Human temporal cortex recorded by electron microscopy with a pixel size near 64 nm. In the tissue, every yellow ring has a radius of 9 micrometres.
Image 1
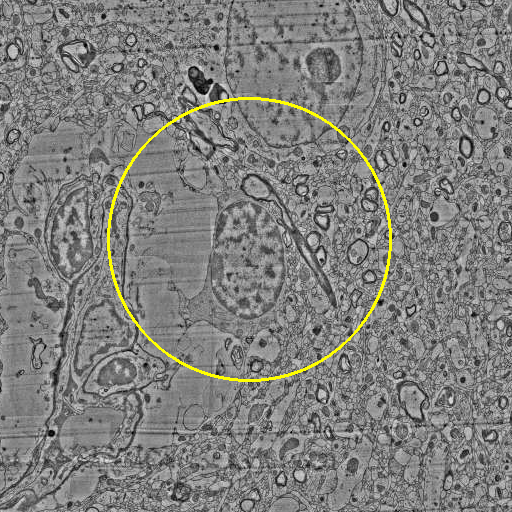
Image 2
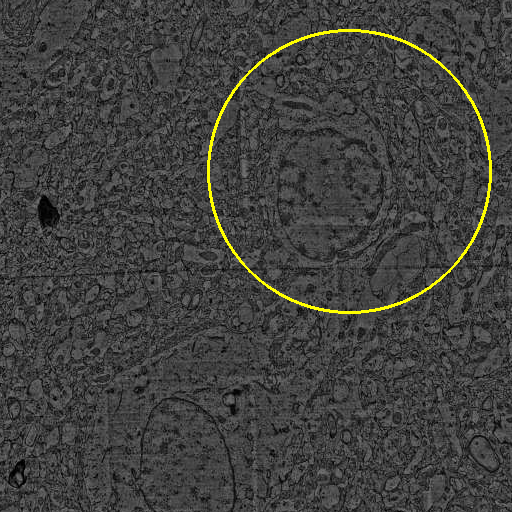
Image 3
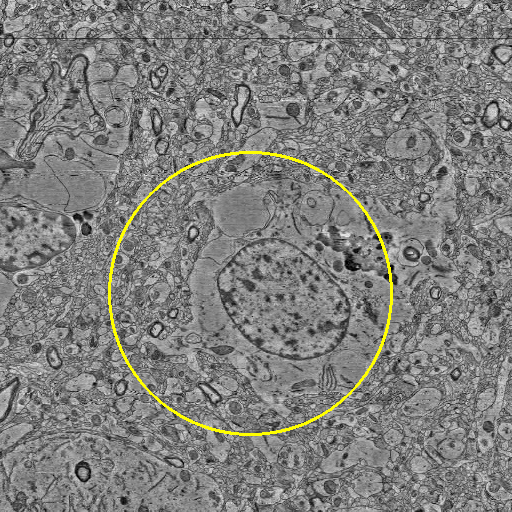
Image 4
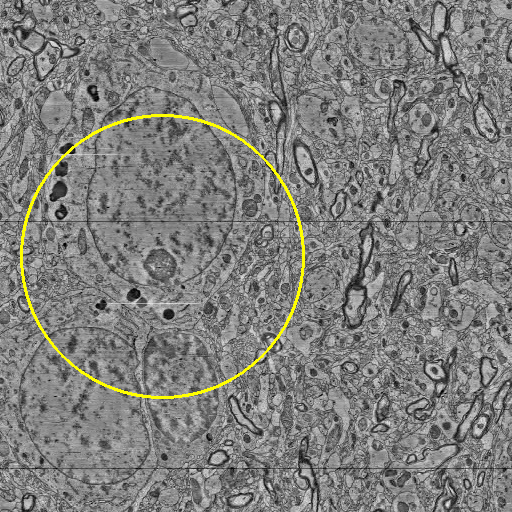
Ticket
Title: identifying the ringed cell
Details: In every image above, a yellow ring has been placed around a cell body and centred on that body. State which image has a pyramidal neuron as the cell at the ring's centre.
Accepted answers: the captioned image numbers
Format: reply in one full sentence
The ring in image 4 is centred on the cell in question.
